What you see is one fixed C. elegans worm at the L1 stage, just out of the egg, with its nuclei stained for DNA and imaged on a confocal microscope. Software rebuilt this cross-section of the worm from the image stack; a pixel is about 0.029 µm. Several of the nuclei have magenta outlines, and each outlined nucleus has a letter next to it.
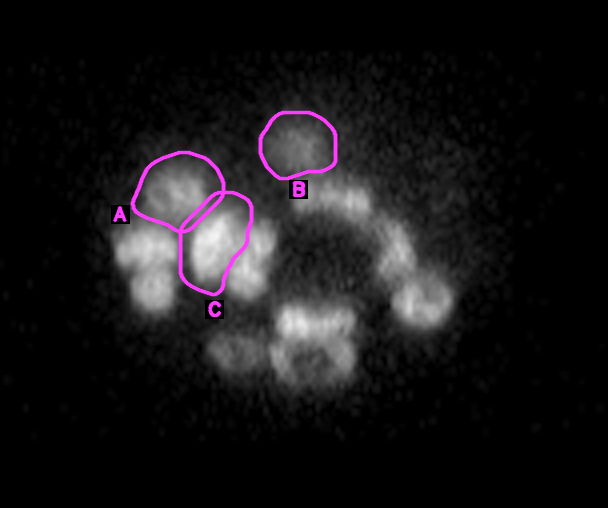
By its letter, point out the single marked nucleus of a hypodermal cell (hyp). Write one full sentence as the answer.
B is the one that belongs to a hypodermal cell (hyp).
